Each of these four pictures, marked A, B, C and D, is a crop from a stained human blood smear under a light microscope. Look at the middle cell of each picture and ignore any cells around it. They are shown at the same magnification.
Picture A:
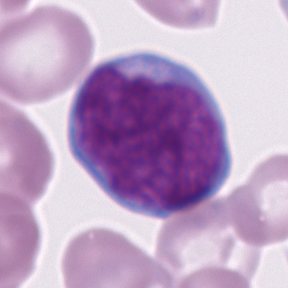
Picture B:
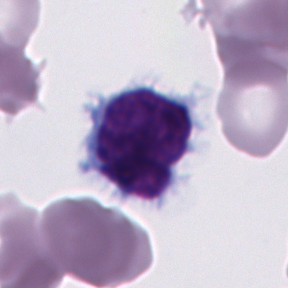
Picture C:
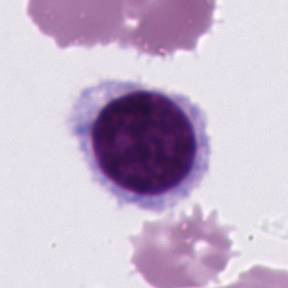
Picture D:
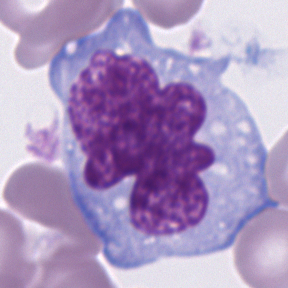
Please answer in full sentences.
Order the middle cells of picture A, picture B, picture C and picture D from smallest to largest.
From the smallest up, the order is B, C, A, D.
